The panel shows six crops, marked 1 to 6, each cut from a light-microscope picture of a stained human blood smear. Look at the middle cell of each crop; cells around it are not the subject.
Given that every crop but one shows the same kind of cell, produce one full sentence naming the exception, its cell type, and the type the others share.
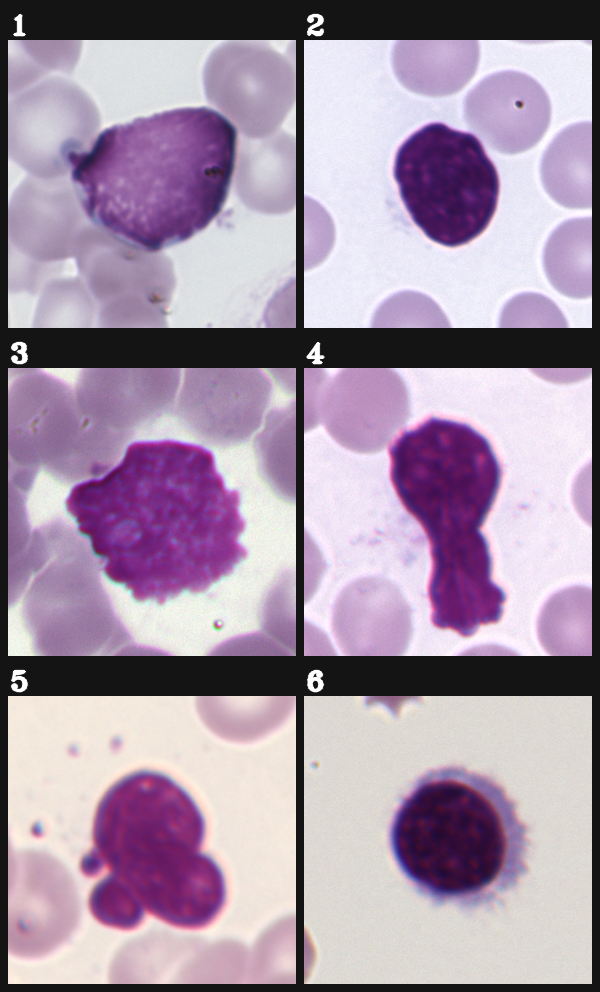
The exception is crop 6, with a hairy cell; the remaining crops all show smudge cells.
